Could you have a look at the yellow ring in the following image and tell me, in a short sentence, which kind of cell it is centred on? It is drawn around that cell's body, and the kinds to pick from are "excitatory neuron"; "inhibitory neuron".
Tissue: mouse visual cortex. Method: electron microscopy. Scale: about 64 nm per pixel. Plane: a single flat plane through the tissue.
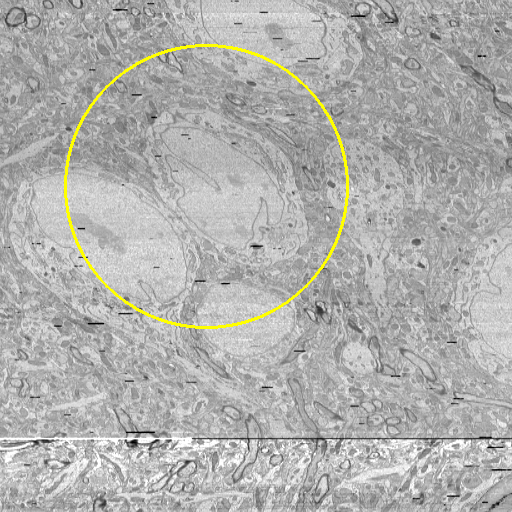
The ring is centred on the body of an excitatory neuron.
